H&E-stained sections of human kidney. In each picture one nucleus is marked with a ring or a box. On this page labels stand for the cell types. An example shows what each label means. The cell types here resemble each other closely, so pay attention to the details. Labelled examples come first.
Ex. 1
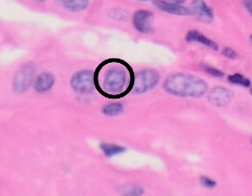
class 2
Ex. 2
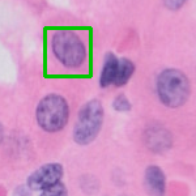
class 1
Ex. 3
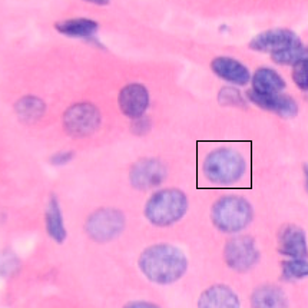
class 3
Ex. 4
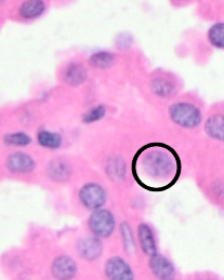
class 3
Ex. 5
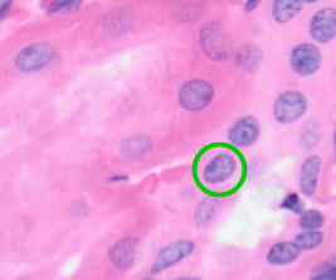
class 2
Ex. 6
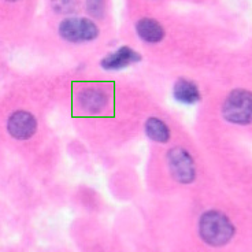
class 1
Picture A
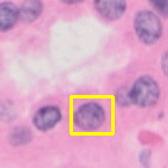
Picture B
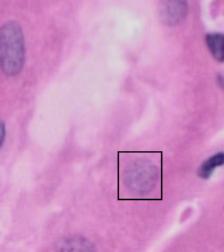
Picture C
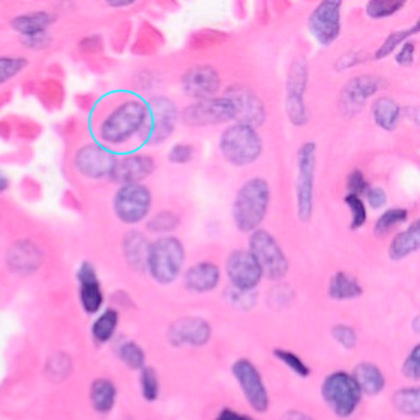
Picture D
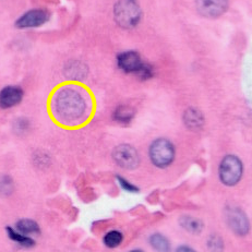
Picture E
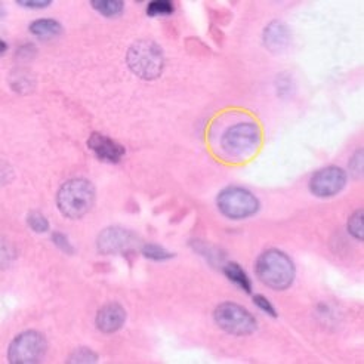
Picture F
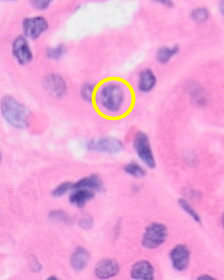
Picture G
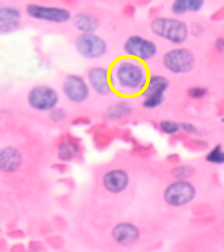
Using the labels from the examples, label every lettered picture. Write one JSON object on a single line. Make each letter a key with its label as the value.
{"A": "class 3", "B": "class 1", "C": "class 2", "D": "class 1", "E": "class 2", "F": "class 2", "G": "class 2"}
